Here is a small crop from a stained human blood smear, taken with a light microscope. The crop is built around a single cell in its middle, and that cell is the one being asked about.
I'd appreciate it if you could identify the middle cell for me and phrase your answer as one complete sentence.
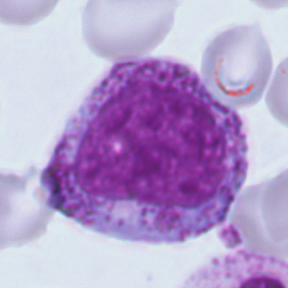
The cell nearest the centre of this crop is a promyelocyte.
